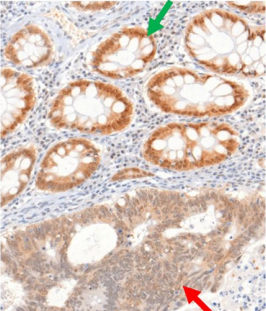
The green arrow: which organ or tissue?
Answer: Adjacent normal colonic mucosa.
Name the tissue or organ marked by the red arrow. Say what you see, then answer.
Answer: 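The arrowed area is a sheet of irregular, crowded glands without orderly round crypts. Nuclei there are packed and piled up, unlike the crypts above. No goblet cells with clear mucin vacuoles are seen in the arrowed area. That points to this answer: colon cancer.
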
